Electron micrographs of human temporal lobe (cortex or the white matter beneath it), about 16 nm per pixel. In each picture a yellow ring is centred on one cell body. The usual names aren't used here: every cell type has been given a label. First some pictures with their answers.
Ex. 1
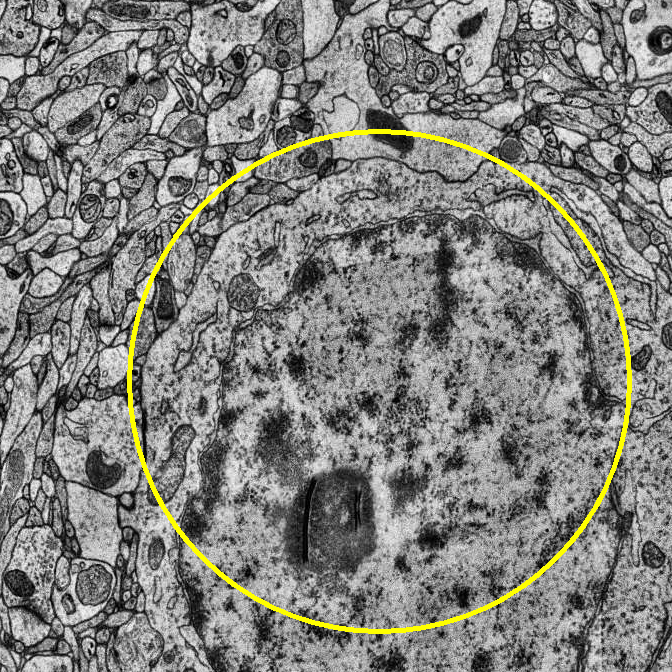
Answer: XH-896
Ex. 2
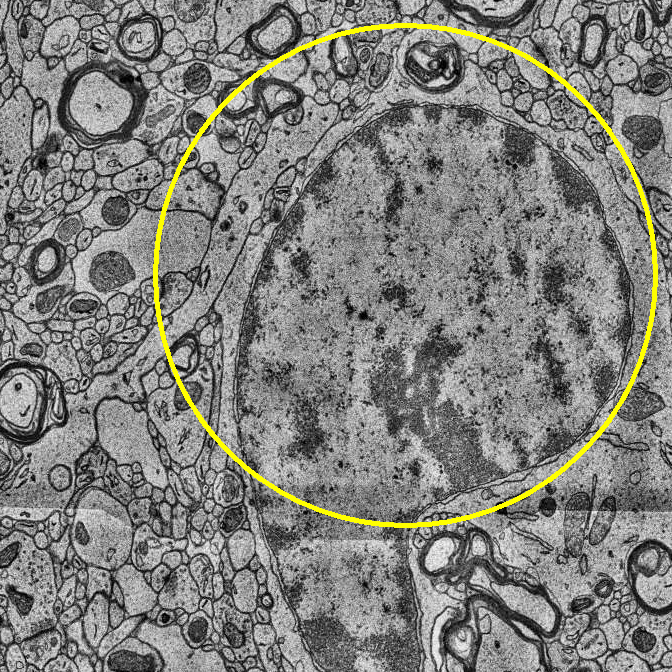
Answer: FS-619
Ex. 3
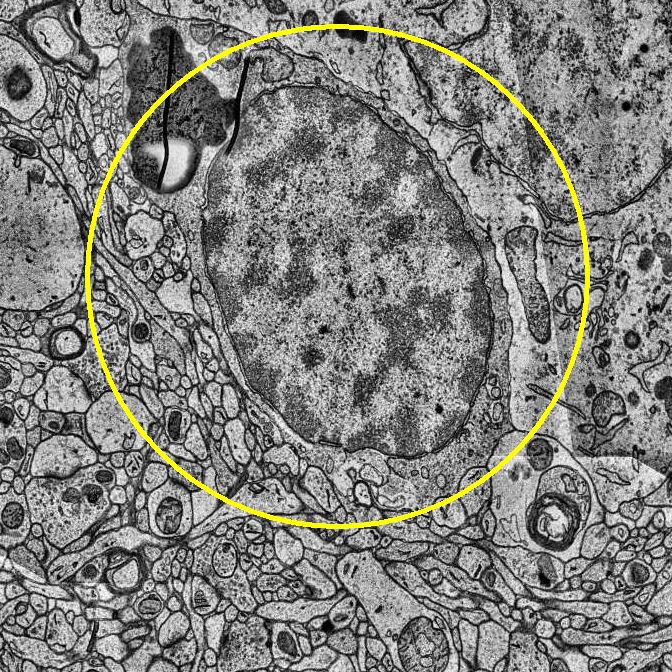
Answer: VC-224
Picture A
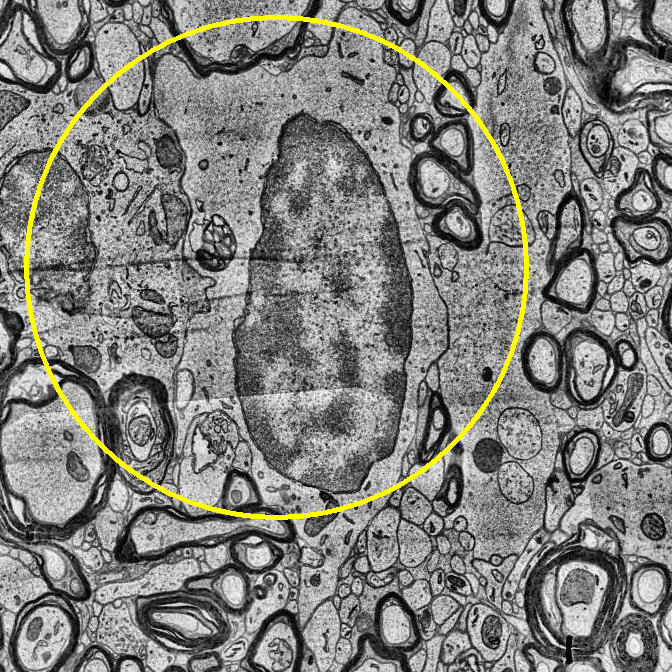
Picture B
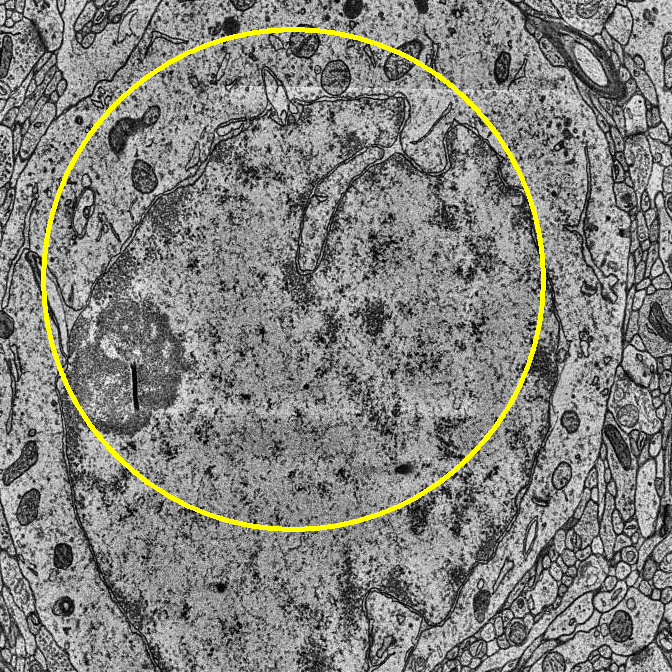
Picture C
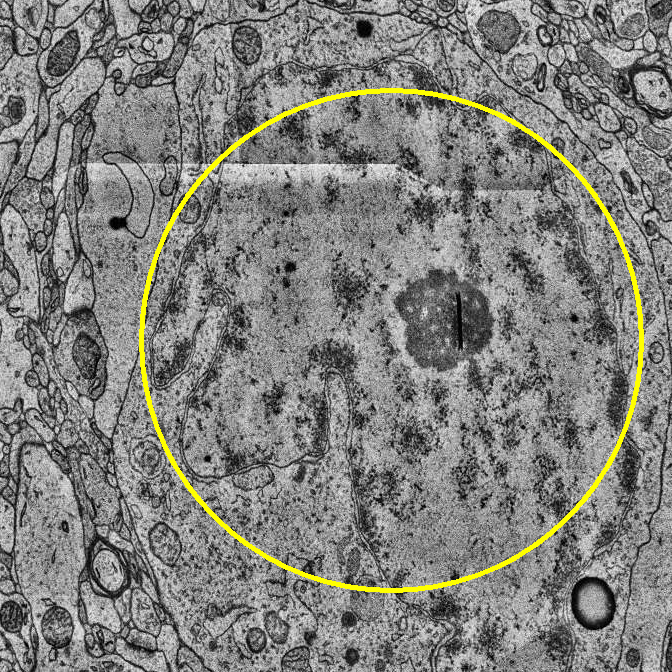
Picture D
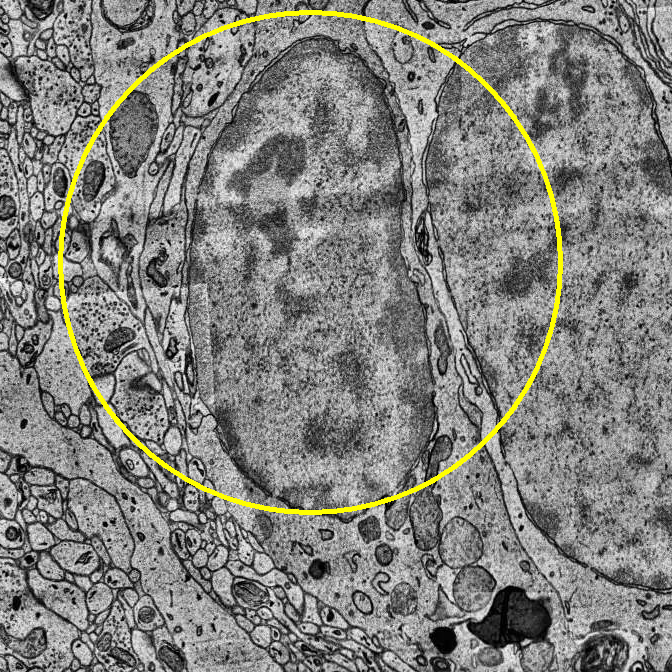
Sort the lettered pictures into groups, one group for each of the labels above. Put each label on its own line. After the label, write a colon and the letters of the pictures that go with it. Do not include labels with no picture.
XH-896: B, C
FS-619: A
VC-224: D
